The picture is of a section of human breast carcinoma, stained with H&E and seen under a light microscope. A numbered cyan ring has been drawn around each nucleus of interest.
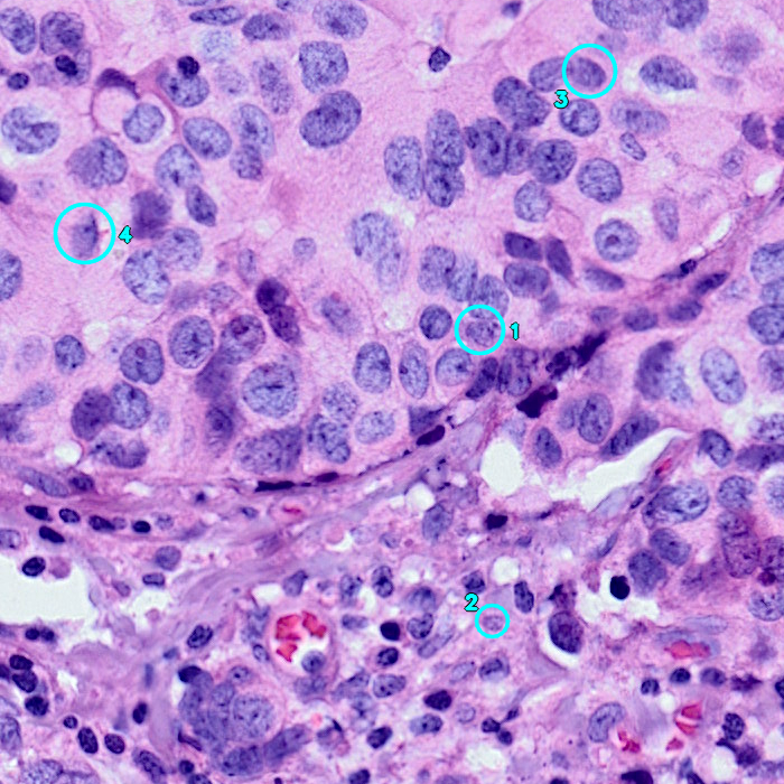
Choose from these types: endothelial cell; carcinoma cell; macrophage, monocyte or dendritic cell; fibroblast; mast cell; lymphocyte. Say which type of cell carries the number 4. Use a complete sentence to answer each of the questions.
Cell 4 is classified as a carcinoma cell.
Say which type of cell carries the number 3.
The marked nucleus 3 is that of a carcinoma cell.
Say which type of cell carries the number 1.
The cell marked with number 1 is a carcinoma cell.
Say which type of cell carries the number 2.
The cell numbered 2 has been identified as a macrophage, monocyte or dendritic cell.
